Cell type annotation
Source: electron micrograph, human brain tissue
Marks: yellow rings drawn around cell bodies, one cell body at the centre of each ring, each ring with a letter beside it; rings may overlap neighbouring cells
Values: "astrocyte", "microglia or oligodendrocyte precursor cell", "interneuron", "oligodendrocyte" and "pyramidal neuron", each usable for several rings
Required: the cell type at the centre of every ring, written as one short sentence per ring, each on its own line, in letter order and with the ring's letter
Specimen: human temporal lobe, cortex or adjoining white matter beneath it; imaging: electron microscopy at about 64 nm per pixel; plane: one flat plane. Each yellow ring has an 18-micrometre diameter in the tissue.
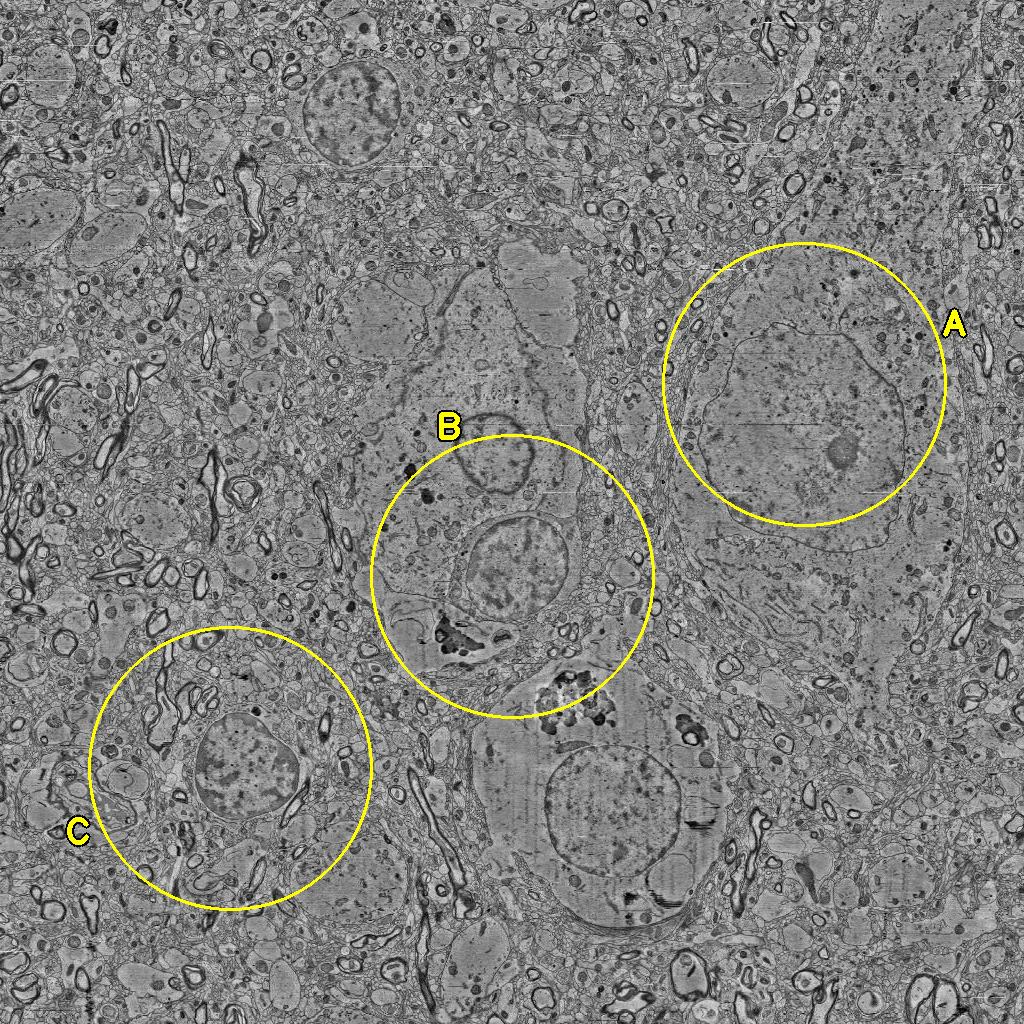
Ring A is annotated as a pyramidal neuron.
Ring B is annotated as an oligodendrocyte.
Ring C is annotated as a microglial cell or oligodendrocyte precursor cell.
